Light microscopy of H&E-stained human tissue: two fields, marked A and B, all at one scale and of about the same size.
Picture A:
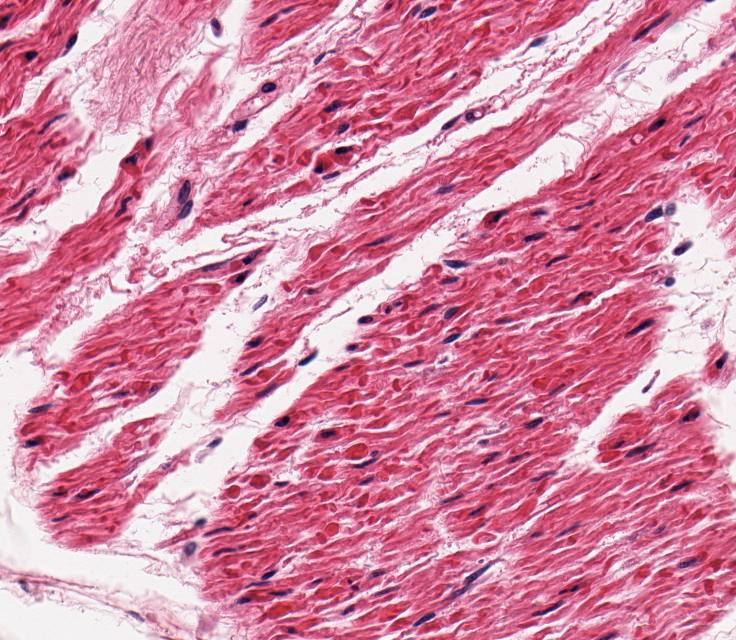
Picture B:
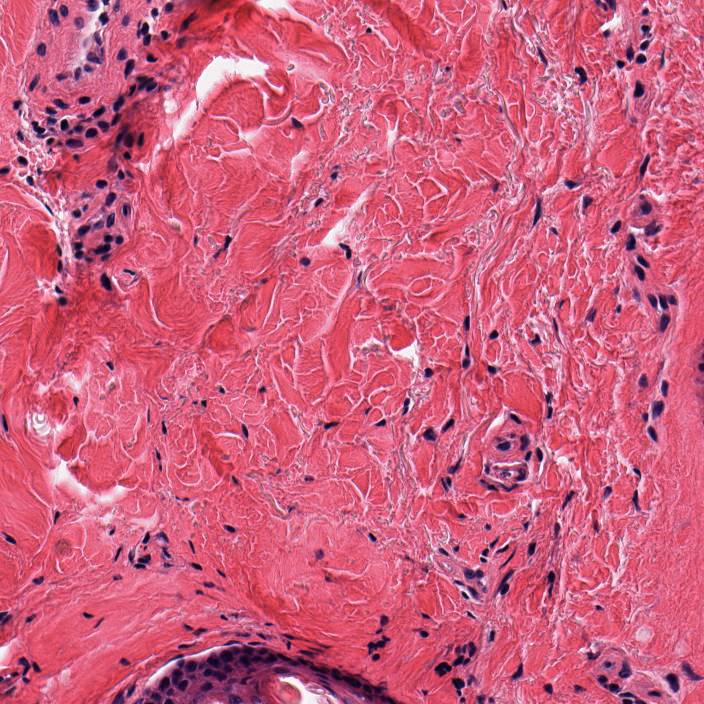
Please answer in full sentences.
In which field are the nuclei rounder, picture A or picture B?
It is picture B whose nuclei are the rounder.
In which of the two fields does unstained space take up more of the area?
It is picture A in which white space covers the larger part.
